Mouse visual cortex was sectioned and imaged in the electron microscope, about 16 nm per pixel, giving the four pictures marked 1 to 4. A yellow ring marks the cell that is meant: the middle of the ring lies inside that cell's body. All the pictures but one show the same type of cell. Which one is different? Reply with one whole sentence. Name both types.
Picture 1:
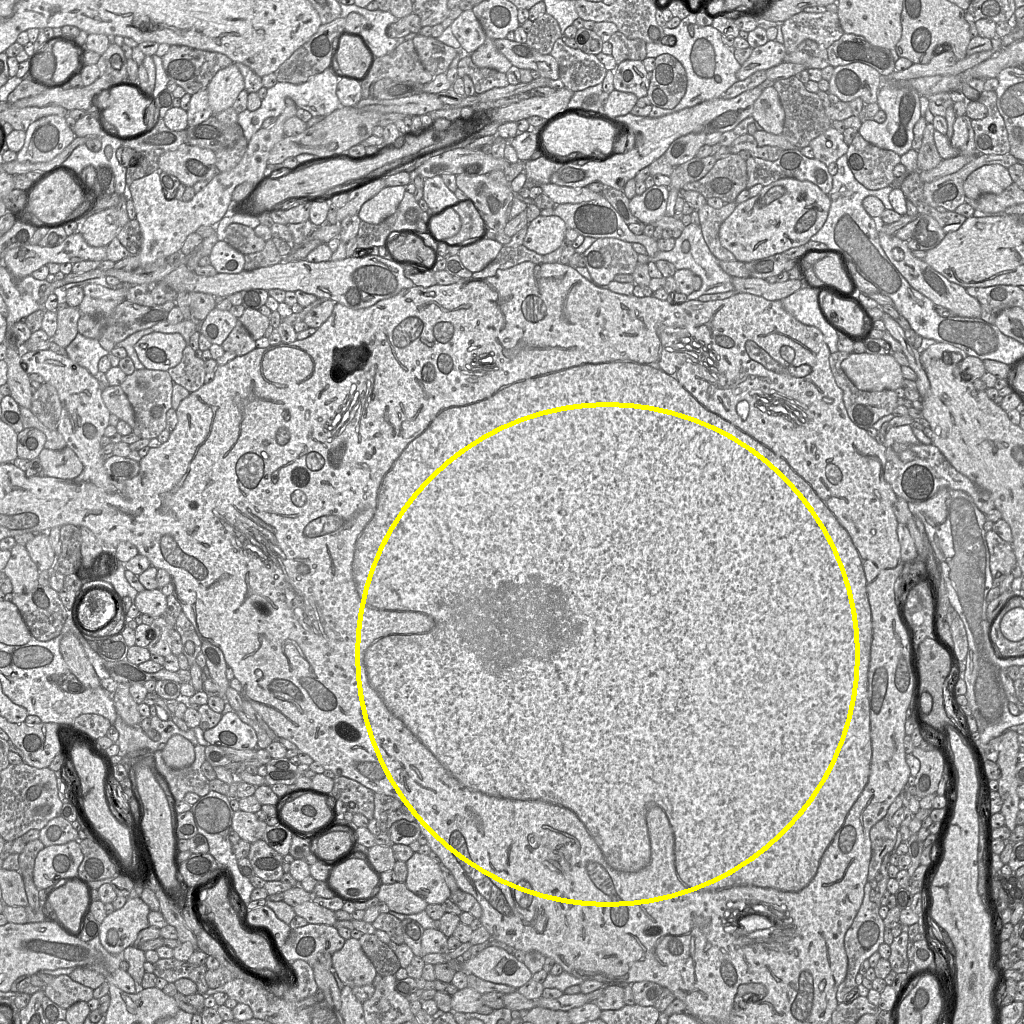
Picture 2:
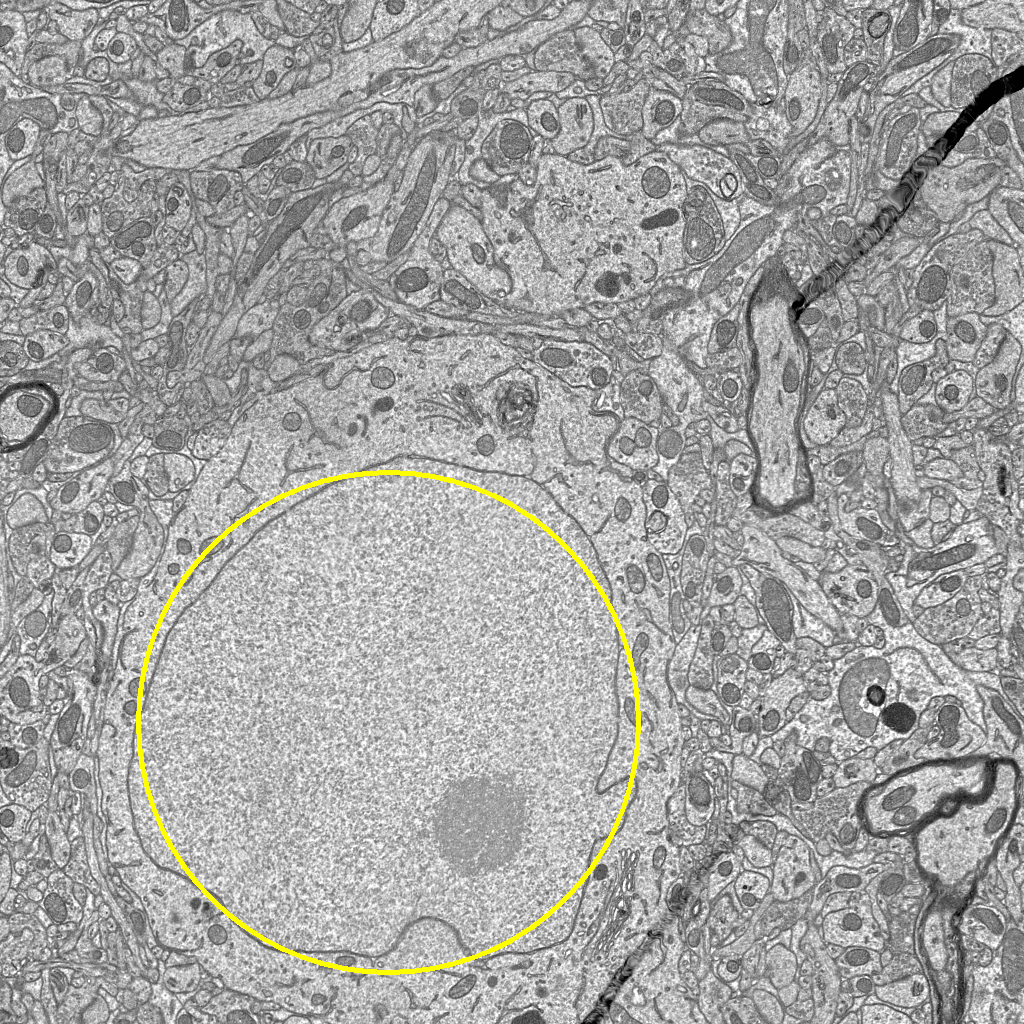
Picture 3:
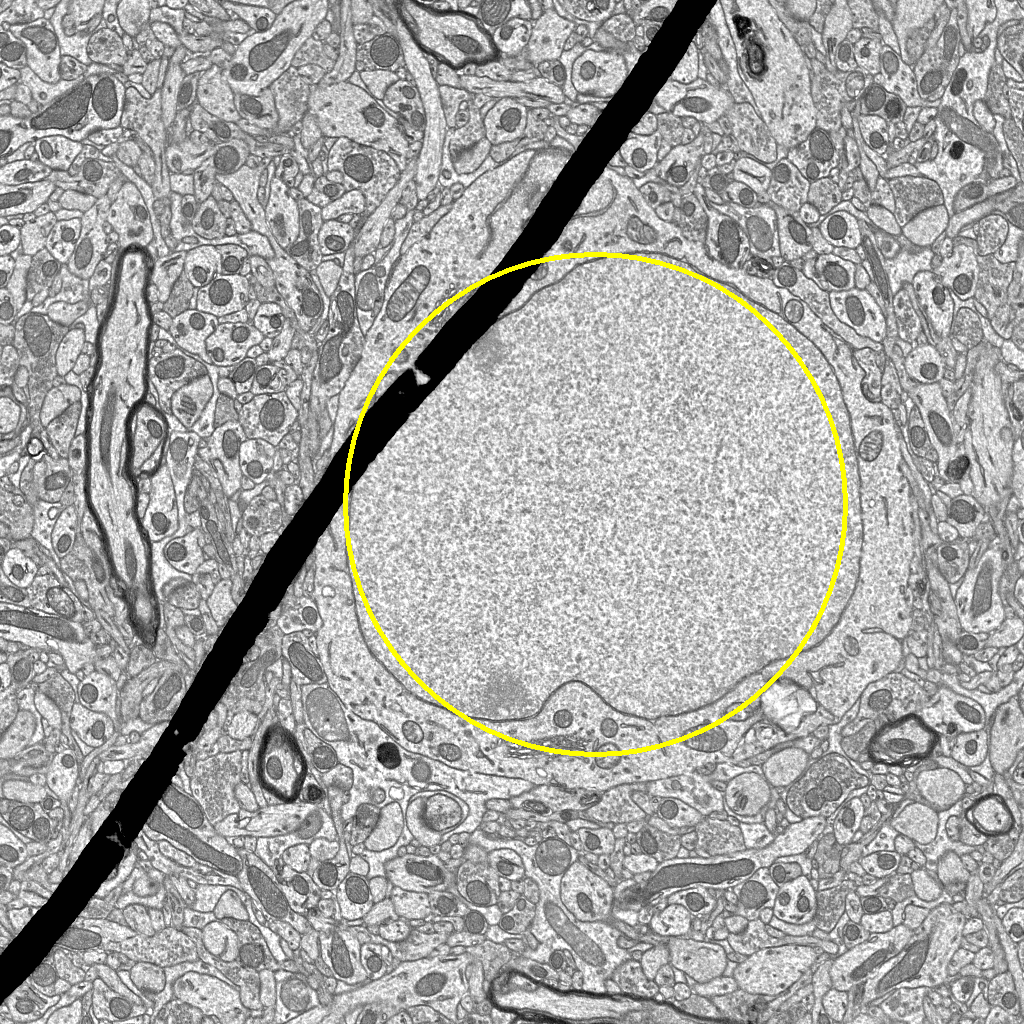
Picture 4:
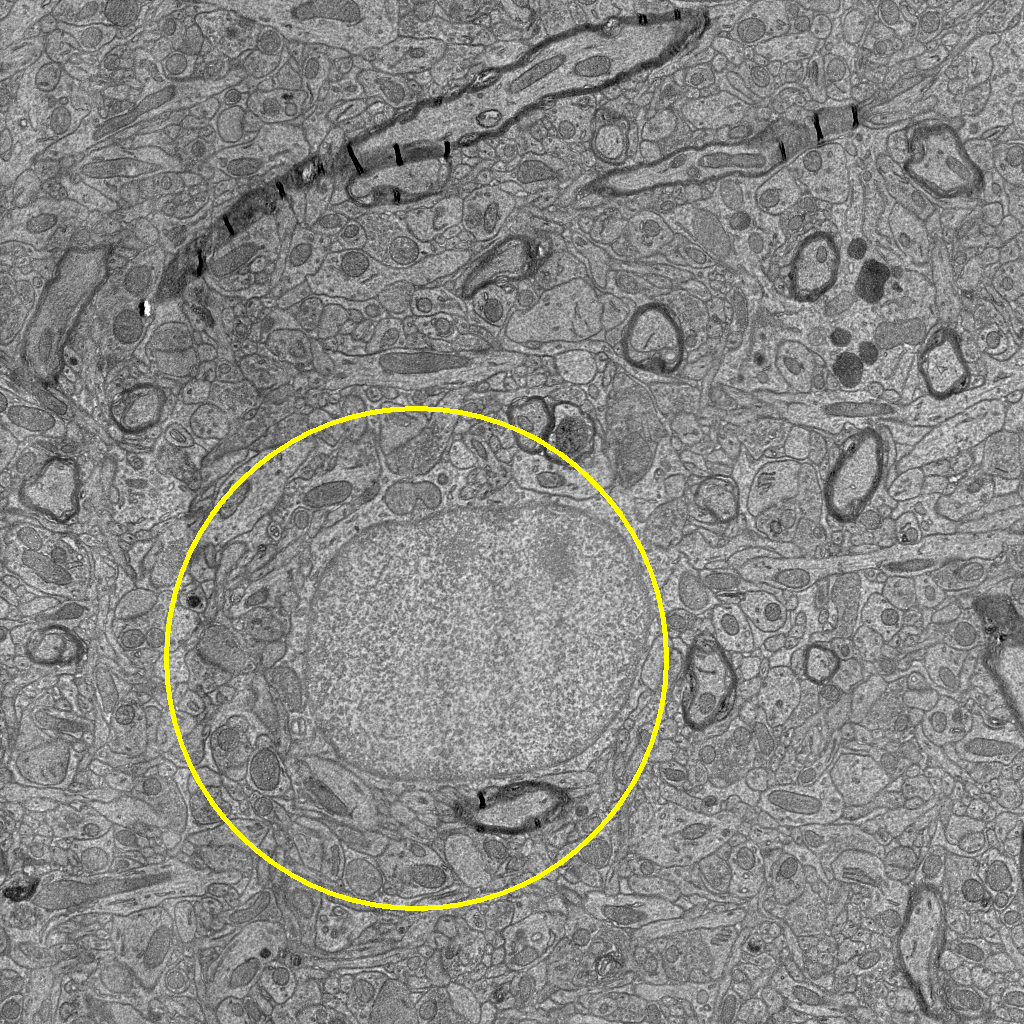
The different one is picture 4; it shows an astrocyte, whereas all the others show excitatory neurons.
